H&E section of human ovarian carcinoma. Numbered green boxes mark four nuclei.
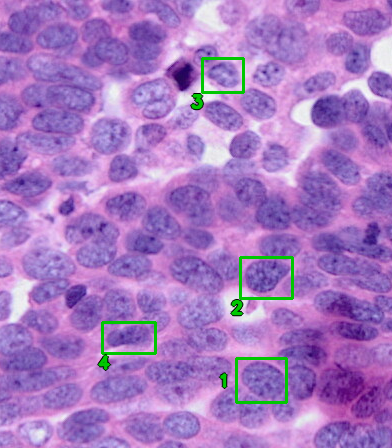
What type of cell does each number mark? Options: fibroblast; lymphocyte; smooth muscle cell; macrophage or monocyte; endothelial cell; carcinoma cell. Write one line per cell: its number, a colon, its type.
1: carcinoma cell
2: carcinoma cell
3: macrophage or monocyte
4: carcinoma cell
